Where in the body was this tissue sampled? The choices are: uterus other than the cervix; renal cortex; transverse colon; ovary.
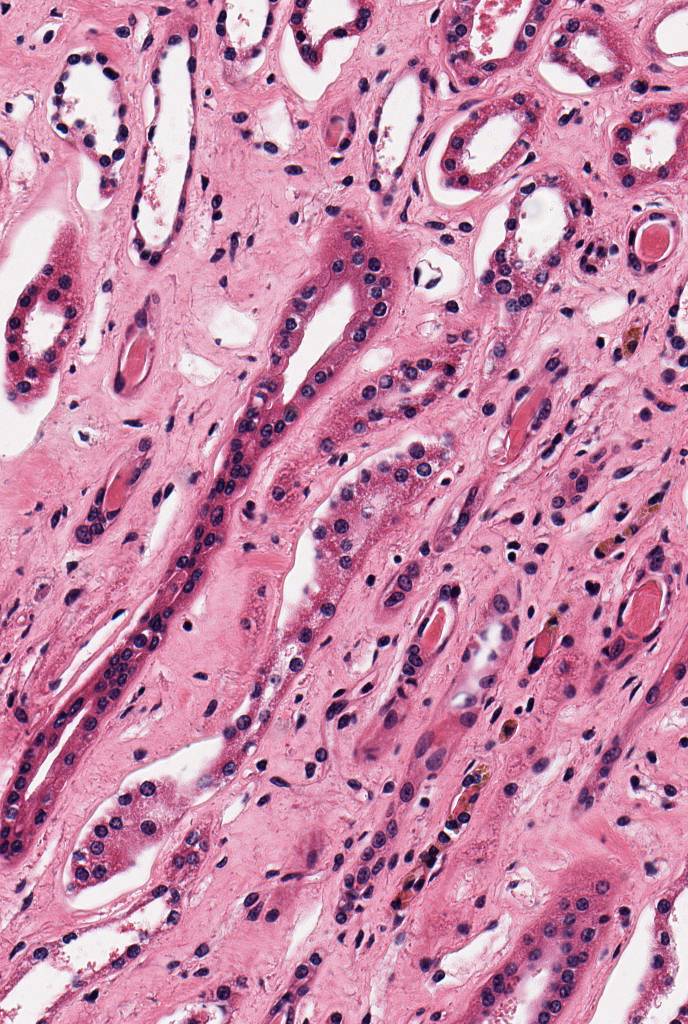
renal cortex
